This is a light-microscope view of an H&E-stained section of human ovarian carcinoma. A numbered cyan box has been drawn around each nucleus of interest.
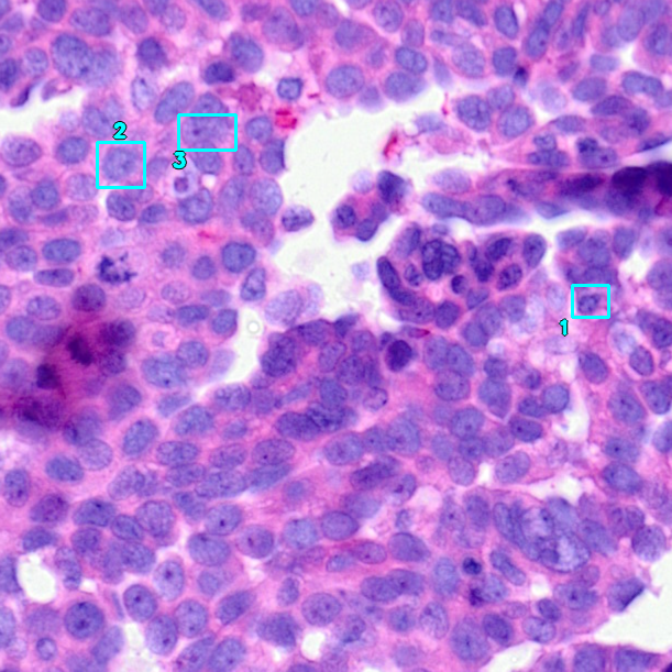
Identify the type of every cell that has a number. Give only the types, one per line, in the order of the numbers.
macrophage or monocyte
carcinoma cell
carcinoma cell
